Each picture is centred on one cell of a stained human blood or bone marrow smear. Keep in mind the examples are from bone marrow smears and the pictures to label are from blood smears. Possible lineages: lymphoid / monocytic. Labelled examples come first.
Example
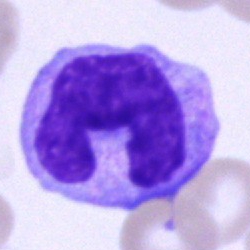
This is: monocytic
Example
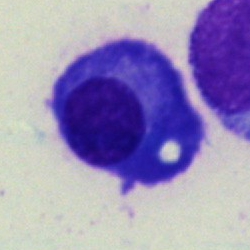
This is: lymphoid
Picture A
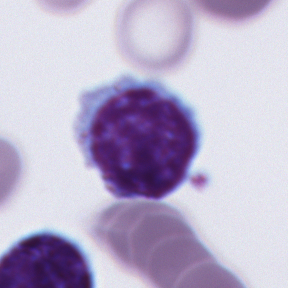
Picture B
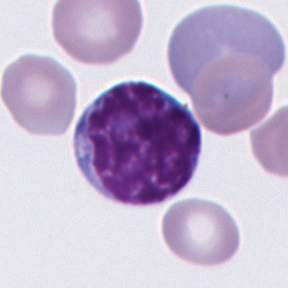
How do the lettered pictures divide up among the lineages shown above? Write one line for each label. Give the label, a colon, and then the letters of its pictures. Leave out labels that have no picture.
lymphoid: A, B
